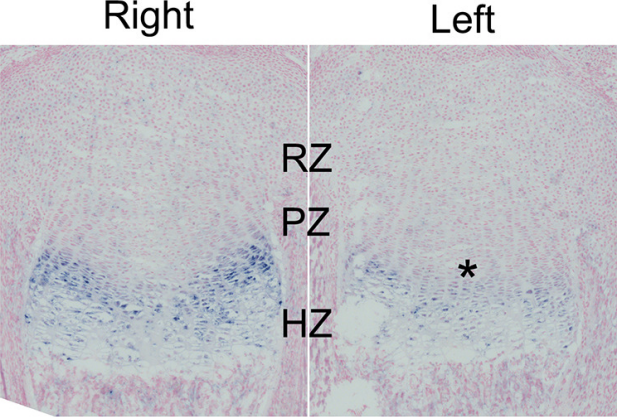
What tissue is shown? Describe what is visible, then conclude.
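Cartilage with small rounded cells at the top, flattened cells stacked in columns in the middle, and large swollen cells toward the bottom. The zones are stacked in horizontal bands across the width of the bone end.
Hence: growth plate.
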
